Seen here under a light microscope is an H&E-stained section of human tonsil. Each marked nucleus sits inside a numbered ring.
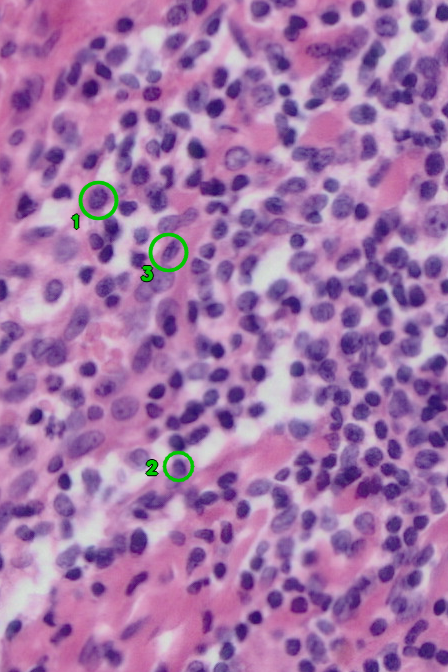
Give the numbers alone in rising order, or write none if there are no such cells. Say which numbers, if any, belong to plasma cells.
1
